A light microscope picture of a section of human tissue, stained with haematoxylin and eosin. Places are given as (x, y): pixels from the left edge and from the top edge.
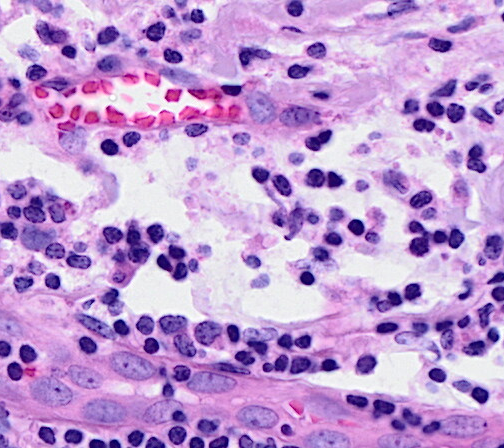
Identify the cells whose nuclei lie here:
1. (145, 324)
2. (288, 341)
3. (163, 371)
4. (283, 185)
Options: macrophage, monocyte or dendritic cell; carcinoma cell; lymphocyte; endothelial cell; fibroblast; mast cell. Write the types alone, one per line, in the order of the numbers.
lymphocyte
lymphocyte
endothelial cell
lymphocyte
